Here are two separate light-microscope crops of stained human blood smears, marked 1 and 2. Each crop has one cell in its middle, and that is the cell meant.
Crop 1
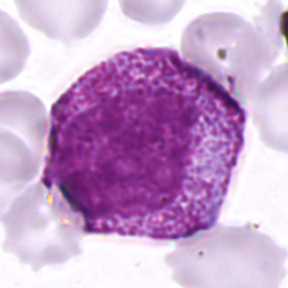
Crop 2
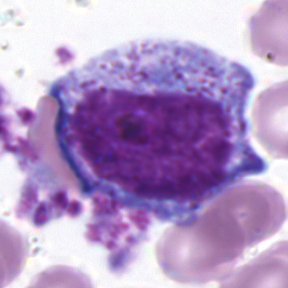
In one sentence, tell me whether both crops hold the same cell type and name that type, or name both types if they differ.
Yes, both crops show promyelocytes, to put it briefly.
